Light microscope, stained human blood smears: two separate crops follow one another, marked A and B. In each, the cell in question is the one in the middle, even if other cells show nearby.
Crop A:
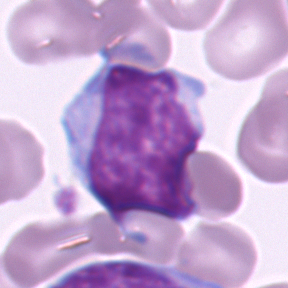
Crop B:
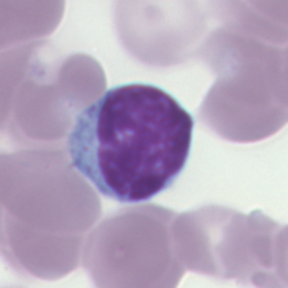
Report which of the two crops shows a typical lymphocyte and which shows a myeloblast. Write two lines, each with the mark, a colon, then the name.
A: myeloblast
B: typical lymphocyte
